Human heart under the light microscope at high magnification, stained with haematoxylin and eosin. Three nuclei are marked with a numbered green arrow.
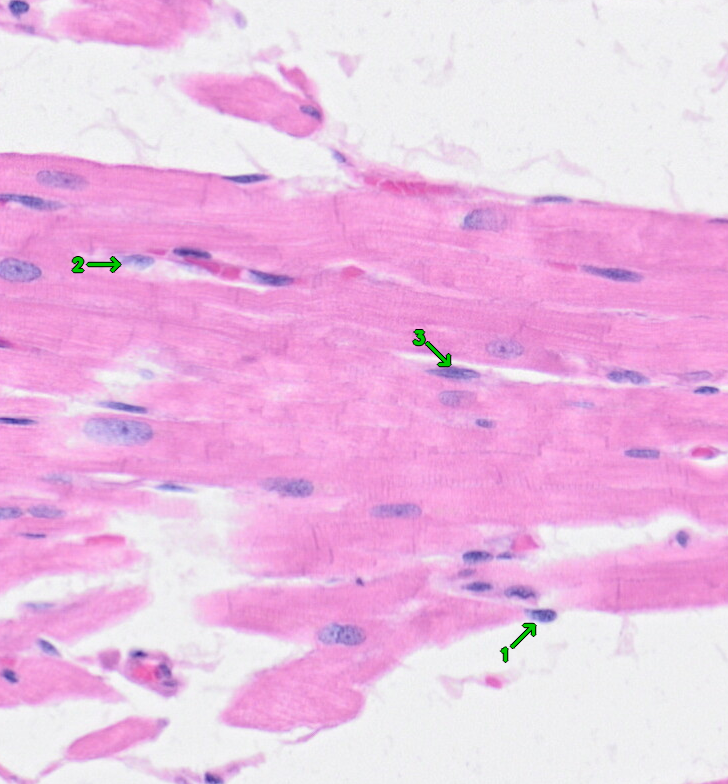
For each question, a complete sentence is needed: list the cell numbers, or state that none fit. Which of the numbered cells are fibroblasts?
Within this tissue, the cells numbered 1 and 2 are fibroblasts.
